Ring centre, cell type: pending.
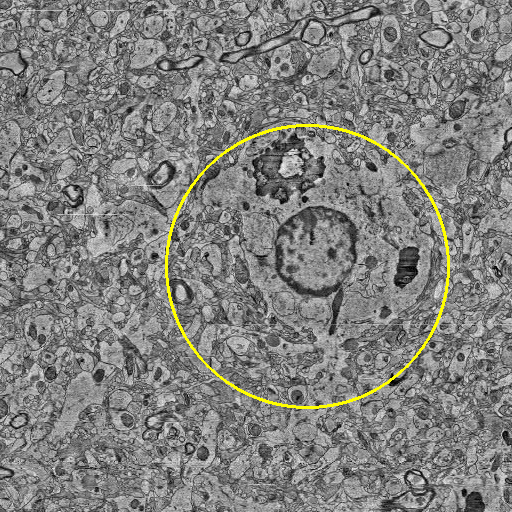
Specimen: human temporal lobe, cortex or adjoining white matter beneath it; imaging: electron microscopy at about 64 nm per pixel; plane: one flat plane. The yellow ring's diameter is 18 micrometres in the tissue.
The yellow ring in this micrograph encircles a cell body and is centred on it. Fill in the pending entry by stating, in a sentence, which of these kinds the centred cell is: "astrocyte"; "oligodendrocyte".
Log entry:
The centred cell is recorded as an astrocyte.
